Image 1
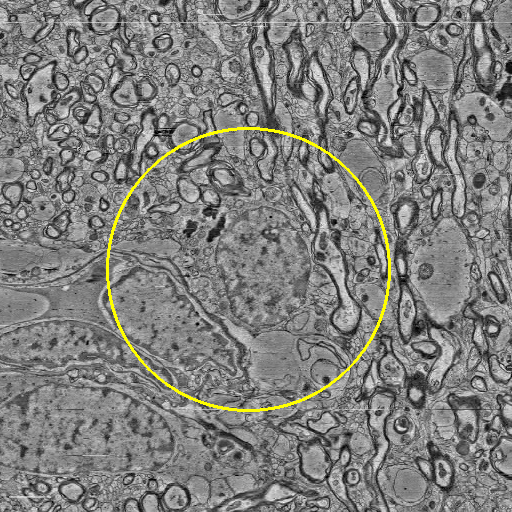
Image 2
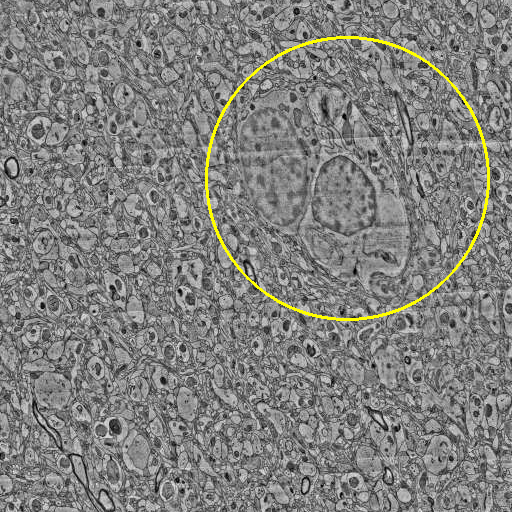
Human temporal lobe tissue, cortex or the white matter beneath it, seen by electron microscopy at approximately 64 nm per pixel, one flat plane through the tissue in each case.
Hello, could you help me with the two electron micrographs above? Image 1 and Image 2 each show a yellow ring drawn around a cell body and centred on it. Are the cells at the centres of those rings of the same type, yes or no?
no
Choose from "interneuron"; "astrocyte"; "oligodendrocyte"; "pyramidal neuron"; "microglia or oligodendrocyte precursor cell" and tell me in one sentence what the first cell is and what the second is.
What the first ring is centred on is an oligodendrocyte; what the second ring is centred on is an astrocyte.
